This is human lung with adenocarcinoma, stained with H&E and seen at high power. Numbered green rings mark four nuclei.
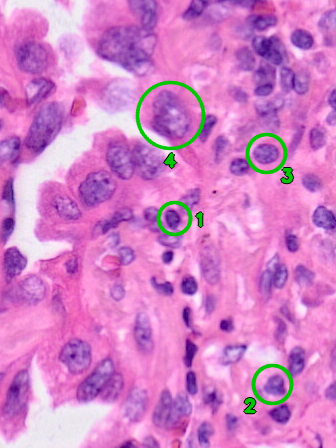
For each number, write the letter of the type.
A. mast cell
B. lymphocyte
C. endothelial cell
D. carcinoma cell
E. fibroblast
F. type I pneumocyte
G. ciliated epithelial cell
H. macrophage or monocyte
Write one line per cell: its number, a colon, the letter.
1: B
2: B
3: A
4: D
